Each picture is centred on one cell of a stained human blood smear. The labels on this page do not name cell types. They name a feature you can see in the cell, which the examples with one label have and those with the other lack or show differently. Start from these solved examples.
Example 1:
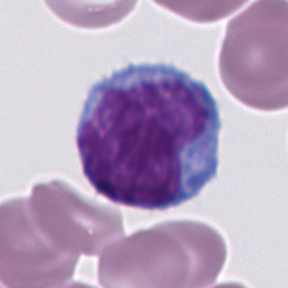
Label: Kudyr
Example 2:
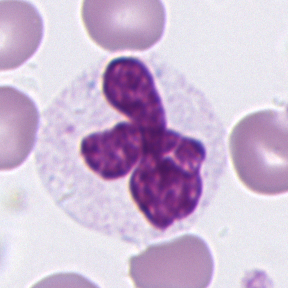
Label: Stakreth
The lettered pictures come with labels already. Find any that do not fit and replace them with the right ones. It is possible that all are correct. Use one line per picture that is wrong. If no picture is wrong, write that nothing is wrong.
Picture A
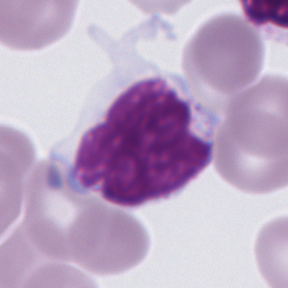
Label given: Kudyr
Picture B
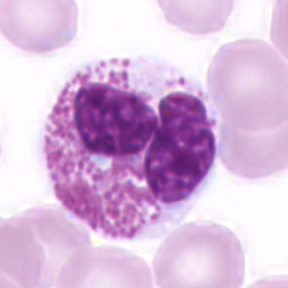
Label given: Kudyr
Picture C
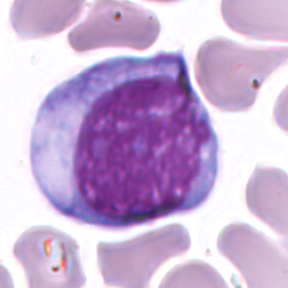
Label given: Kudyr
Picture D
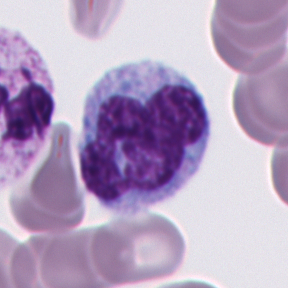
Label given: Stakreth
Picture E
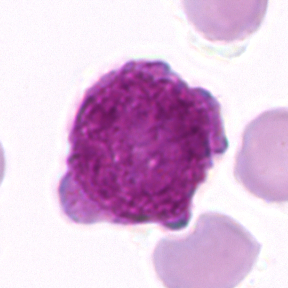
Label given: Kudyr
B: not Kudyr but Stakreth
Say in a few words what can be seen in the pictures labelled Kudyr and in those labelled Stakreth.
Kudyr, ragged outline or projections; Stakreth, smooth outline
